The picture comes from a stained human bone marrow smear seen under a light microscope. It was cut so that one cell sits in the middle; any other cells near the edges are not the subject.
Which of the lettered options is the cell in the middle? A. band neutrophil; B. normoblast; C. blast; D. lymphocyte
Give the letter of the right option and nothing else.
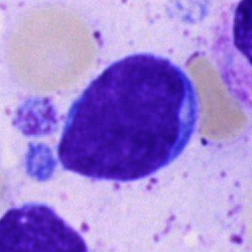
C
